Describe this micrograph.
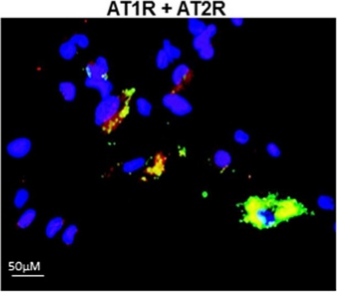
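Only a few of the cells carry red and green staining around their nuclei, and where the two colours overlap they appear yellow. The brightest is a spread cell at the lower right, whose yellow and green staining surrounds its nucleus, while most of the other nuclei have no coloured staining around them.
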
